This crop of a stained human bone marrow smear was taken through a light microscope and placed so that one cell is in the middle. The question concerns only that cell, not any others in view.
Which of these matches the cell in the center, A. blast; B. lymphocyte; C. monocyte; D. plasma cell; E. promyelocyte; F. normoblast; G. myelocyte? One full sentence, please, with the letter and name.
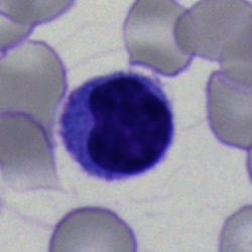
The one cell at the centre is a lymphocyte, as correctly stated in option B.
